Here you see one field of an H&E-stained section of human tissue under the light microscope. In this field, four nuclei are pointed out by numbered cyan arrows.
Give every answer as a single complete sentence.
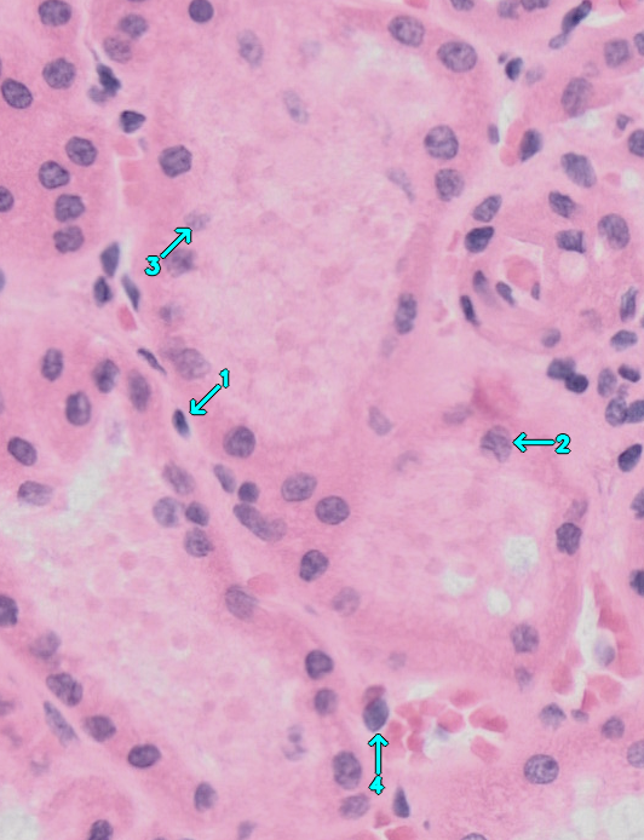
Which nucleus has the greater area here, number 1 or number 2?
Nucleus 2 is larger, with an area about 2.5 times that of nucleus 1.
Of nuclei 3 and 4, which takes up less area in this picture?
It is nucleus 3; nucleus 4 has about 1.5 times its area.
